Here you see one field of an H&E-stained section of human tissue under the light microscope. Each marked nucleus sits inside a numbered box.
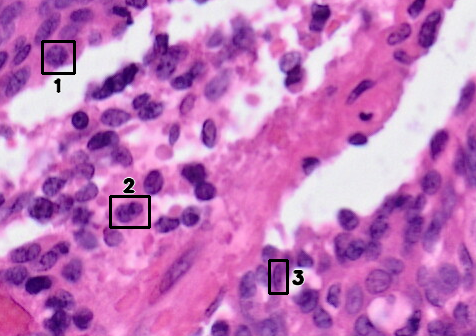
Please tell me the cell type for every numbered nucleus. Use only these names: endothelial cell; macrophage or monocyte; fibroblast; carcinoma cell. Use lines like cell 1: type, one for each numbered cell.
cell 1: carcinoma cell
cell 2: macrophage or monocyte
cell 3: carcinoma cell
